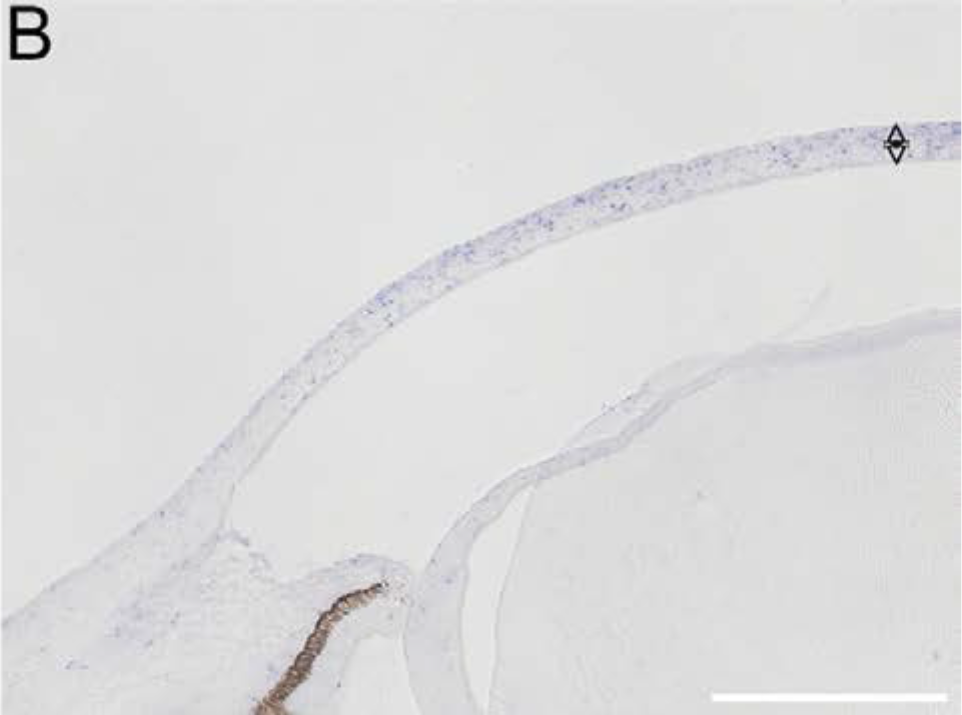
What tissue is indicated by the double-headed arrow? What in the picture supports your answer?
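A thin curved transparent sheet forms the front surface of the eye. The double-headed arrow spans the full thickness of this sheet. The sheet arches over the anterior chamber in front of the lens. So: cornea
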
